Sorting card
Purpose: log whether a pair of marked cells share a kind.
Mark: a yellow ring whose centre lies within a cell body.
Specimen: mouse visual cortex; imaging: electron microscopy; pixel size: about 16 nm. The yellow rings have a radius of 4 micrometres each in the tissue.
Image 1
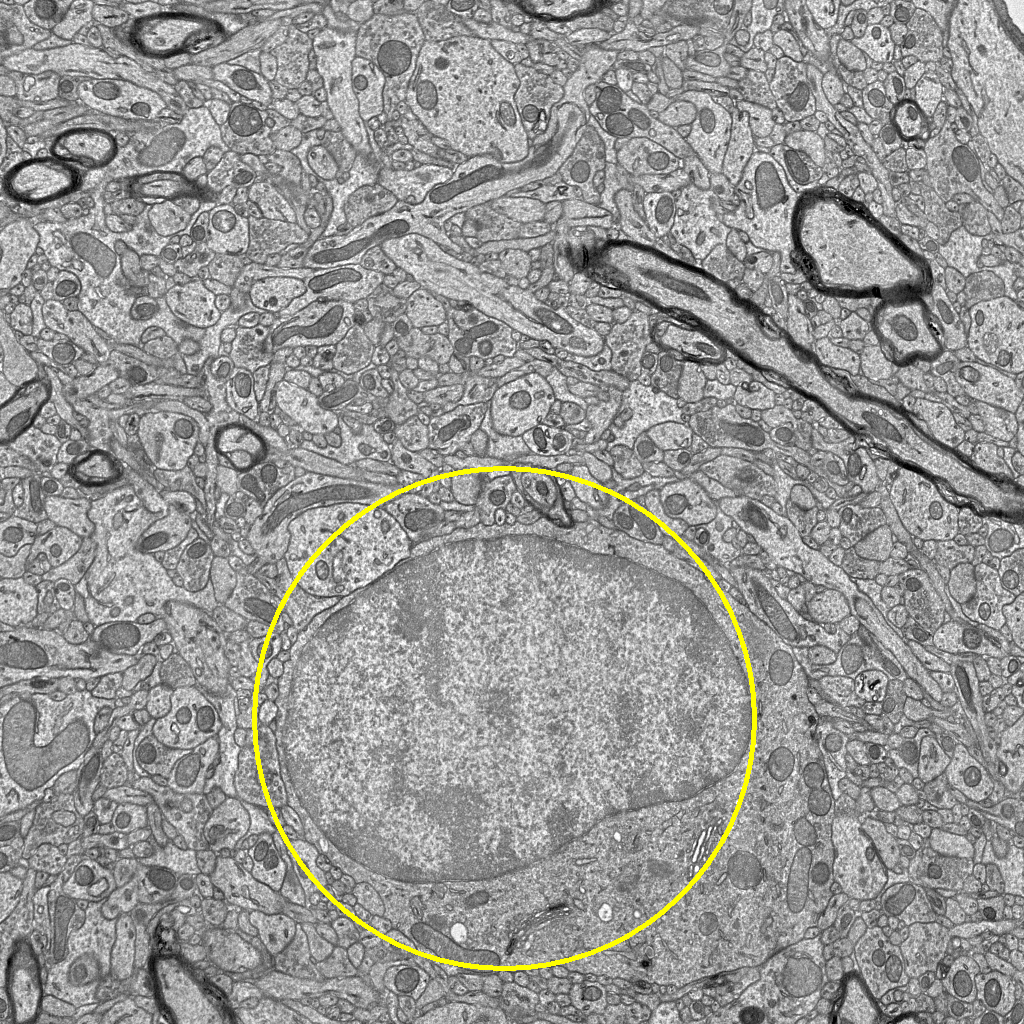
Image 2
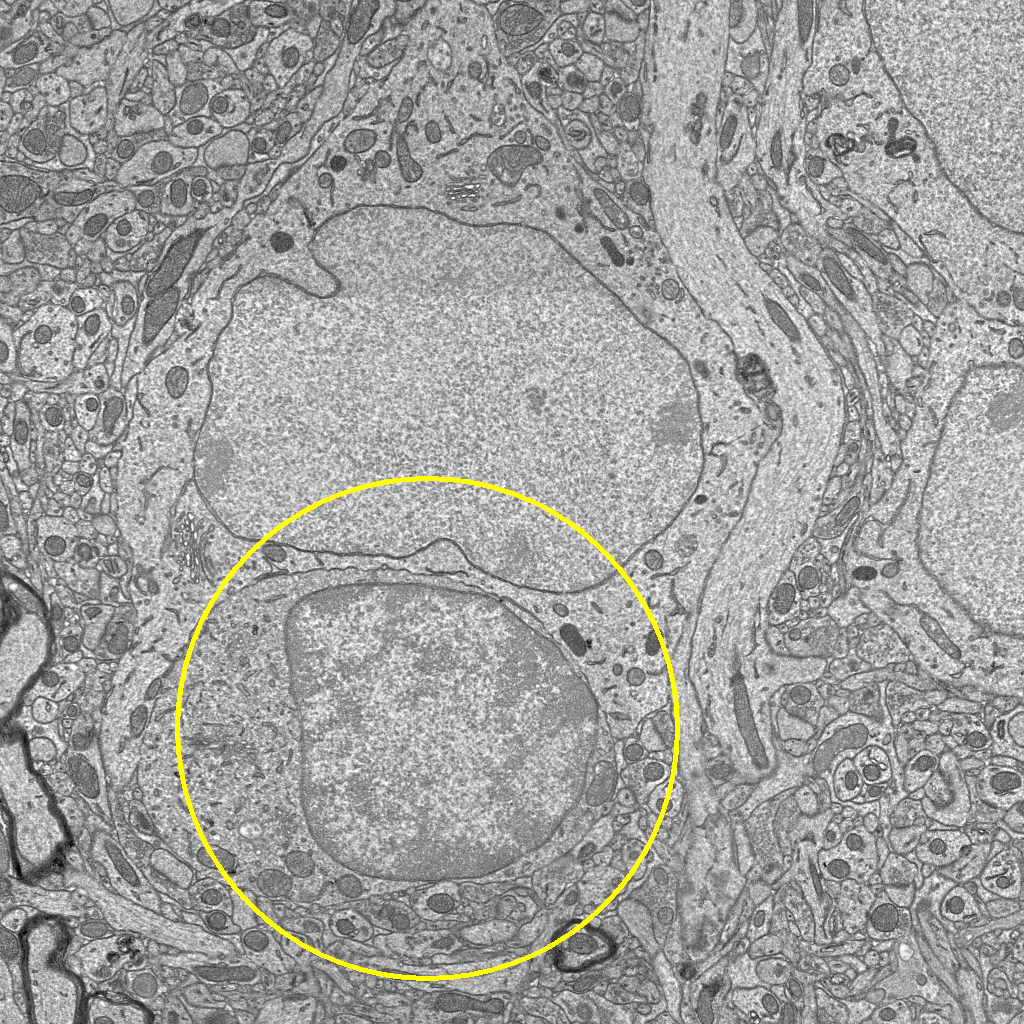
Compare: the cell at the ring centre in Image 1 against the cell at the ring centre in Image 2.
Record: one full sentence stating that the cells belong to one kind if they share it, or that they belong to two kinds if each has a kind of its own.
Across Images 1 and 2, the two cells at the ring centres belong to one kind.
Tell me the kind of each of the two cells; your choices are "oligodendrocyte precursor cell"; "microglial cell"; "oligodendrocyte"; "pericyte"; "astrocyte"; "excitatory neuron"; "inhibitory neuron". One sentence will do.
Each cell, in the first picture and the second, is an oligodendrocyte.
